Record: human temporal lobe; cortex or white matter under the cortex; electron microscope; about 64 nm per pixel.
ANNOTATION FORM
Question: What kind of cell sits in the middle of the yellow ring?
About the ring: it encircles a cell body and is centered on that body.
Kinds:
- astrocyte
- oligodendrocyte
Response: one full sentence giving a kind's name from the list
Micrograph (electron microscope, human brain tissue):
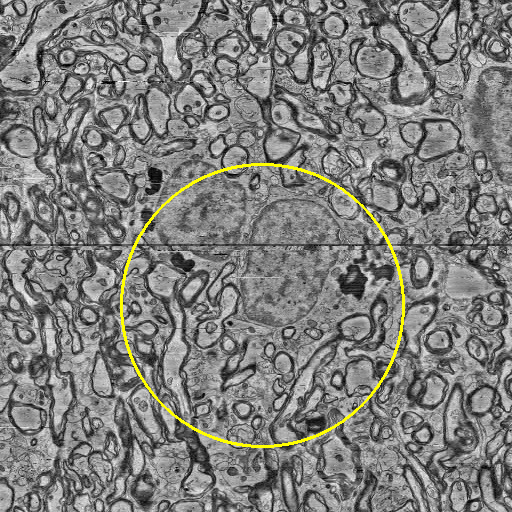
The kind of cell found at the center of the yellow ring in the micrograph is an oligodendrocyte.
